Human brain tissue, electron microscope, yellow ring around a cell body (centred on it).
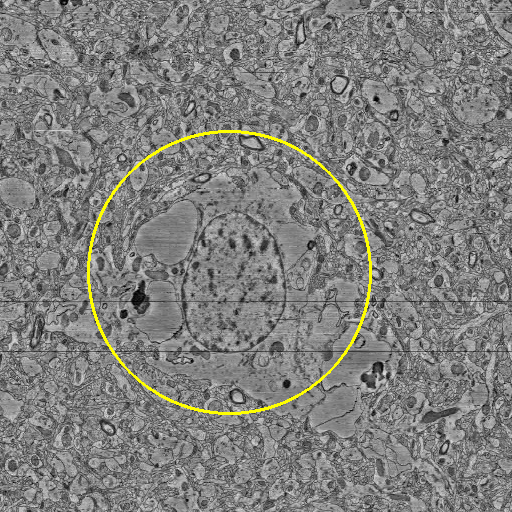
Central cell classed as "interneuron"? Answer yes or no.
no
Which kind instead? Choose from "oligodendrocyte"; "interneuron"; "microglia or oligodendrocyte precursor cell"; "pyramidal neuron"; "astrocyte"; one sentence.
Instead, what sits at the centre of the ring is an astrocyte.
